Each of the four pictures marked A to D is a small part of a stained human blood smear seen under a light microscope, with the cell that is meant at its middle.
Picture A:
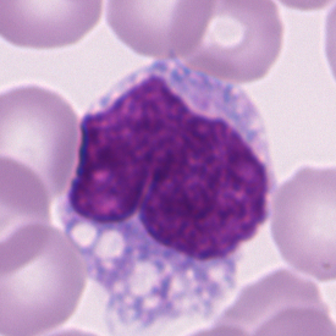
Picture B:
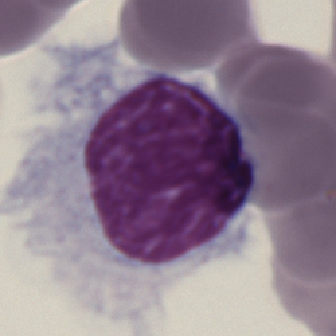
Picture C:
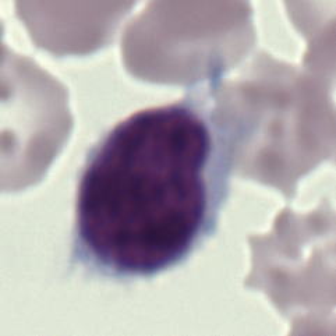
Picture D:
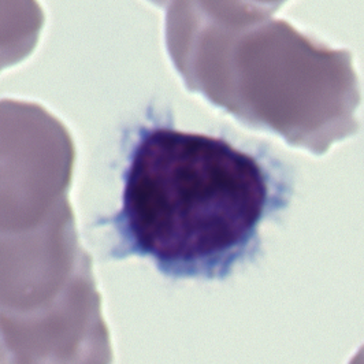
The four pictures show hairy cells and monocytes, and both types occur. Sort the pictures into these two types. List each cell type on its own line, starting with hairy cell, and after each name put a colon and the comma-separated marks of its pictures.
hairy cell: B, C, D
monocyte: A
